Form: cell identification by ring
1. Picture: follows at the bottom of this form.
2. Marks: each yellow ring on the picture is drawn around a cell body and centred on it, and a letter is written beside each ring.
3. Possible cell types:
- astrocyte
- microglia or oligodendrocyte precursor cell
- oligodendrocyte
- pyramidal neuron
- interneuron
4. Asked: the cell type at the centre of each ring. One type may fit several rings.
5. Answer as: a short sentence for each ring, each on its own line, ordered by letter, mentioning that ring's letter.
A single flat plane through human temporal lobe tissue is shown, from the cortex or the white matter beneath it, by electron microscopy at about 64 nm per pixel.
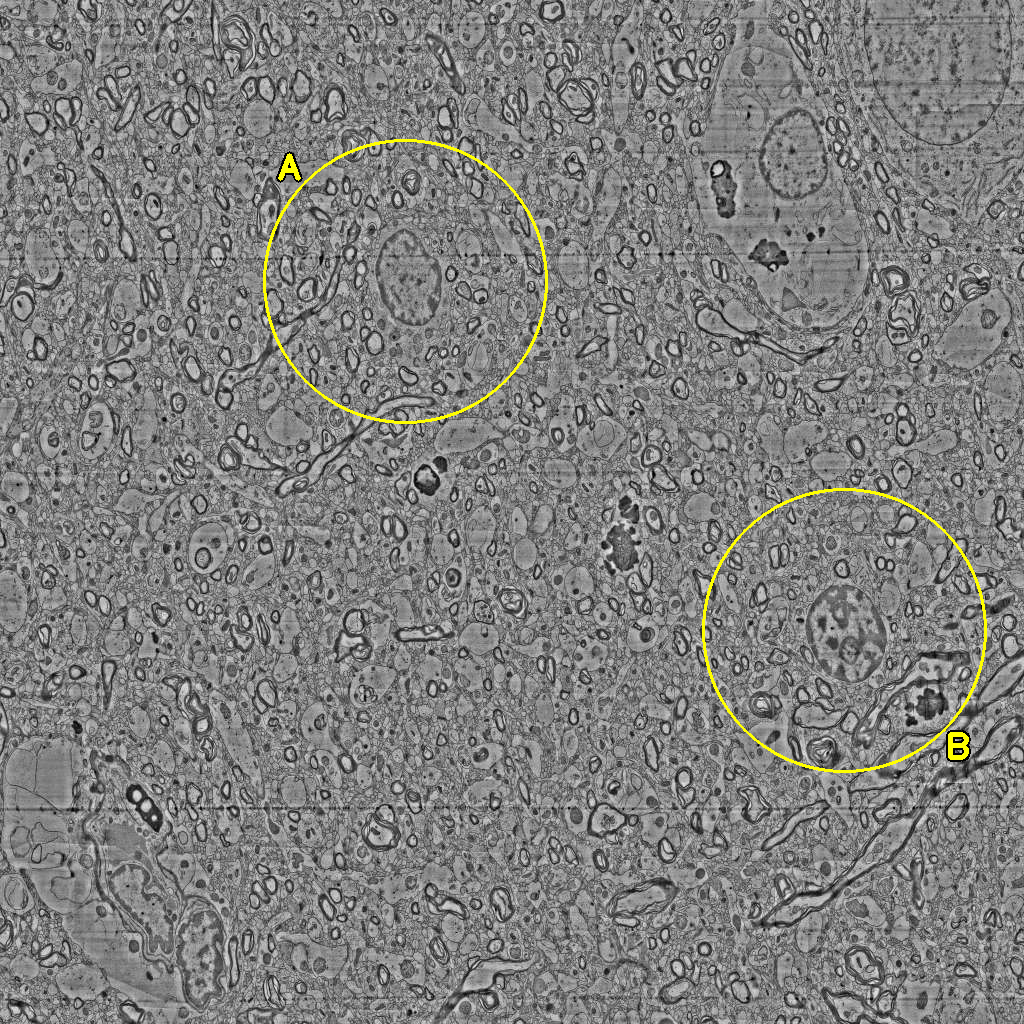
The cell at ring A's centre is an oligodendrocyte.
The cell at ring B's centre is a microglial cell or oligodendrocyte precursor cell.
